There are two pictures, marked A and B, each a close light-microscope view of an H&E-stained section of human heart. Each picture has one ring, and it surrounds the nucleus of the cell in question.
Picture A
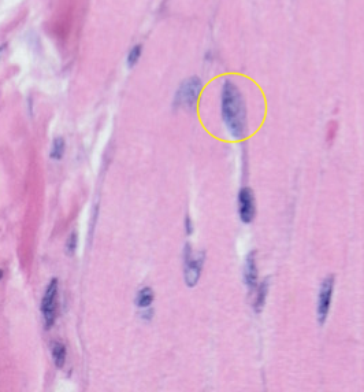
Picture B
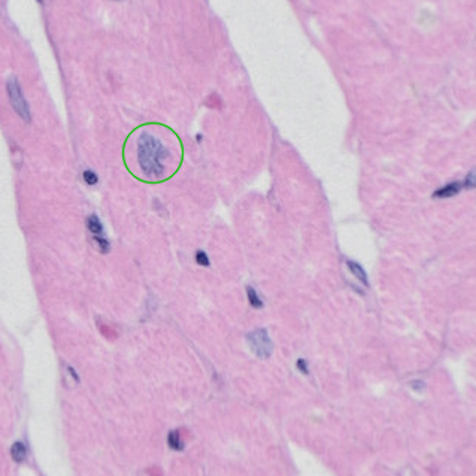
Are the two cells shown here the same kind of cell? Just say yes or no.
no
